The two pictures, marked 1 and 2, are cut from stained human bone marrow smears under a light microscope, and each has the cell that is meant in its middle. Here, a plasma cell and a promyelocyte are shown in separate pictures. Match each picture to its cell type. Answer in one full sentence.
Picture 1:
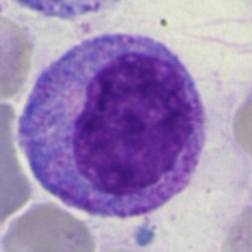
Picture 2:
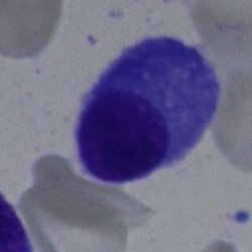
Picture 1 is of a promyelocyte, and picture 2 is of a plasma cell.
